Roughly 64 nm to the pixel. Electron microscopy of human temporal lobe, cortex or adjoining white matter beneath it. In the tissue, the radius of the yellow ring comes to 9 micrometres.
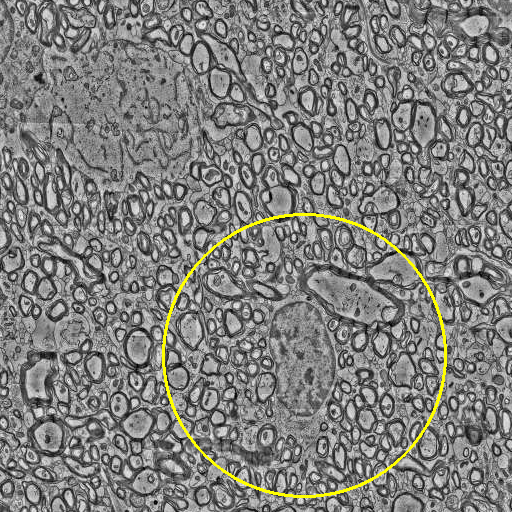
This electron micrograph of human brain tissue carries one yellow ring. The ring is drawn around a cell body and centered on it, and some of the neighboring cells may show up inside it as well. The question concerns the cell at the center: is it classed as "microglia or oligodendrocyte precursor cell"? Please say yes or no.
No, it is classed as another kind.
